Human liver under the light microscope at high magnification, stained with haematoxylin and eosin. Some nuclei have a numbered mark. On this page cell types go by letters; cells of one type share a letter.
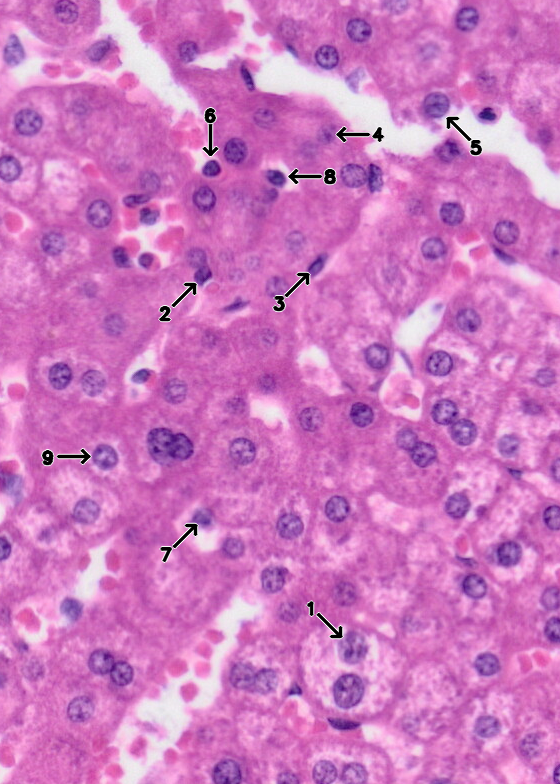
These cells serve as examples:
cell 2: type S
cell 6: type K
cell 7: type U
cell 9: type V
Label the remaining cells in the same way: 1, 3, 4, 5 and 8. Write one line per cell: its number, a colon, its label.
1: type V
3: type S
4: type V
5: type V
8: type K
